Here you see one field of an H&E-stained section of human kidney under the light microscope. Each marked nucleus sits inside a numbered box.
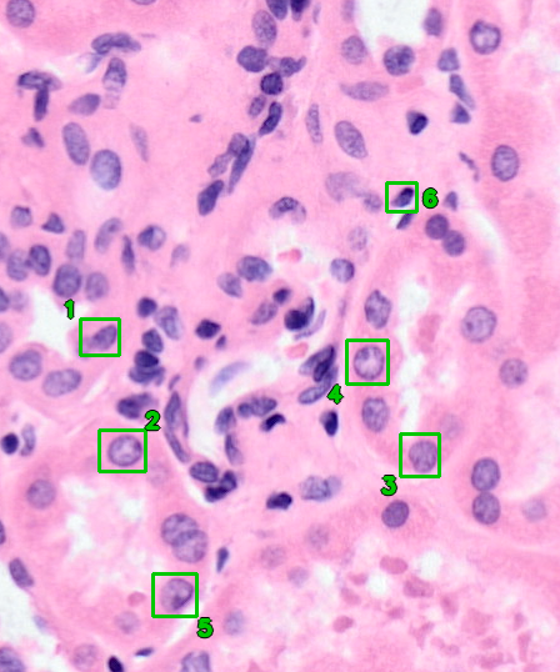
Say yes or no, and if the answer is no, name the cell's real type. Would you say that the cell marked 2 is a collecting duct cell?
No, it is a proximal tubule cell.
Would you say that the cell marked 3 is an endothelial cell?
No, it is a proximal tubule cell.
